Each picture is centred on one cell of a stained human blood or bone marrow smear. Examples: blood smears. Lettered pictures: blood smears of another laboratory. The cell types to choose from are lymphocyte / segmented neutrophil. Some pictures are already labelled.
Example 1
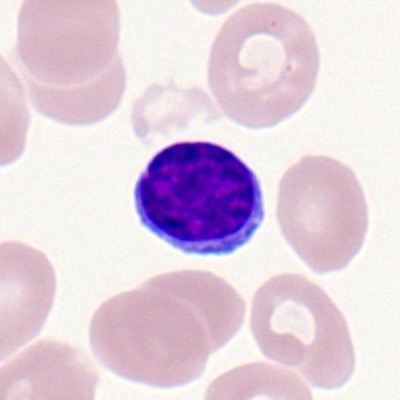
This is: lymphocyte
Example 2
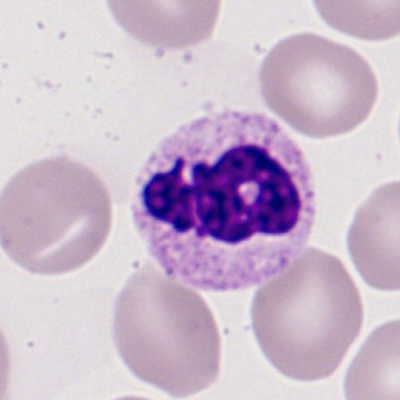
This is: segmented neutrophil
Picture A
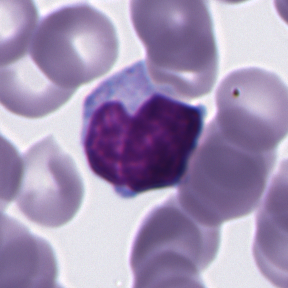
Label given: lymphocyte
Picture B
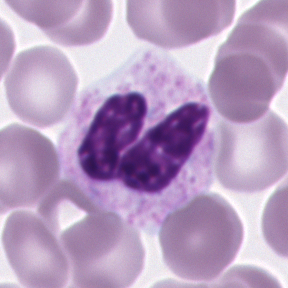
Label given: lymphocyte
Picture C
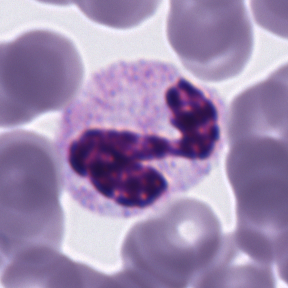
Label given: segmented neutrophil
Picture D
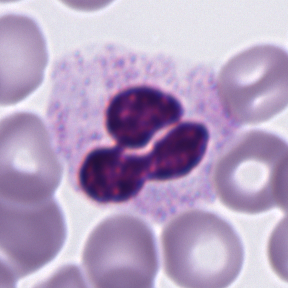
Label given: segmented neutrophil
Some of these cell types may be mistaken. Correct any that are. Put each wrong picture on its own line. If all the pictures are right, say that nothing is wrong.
B: segmented neutrophil, not lymphocyte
